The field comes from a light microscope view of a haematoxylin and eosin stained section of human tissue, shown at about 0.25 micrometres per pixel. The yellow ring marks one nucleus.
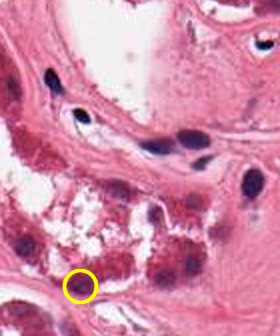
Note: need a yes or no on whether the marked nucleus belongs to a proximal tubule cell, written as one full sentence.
Yes, the cell that holds the marked nucleus is a proximal tubule cell.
